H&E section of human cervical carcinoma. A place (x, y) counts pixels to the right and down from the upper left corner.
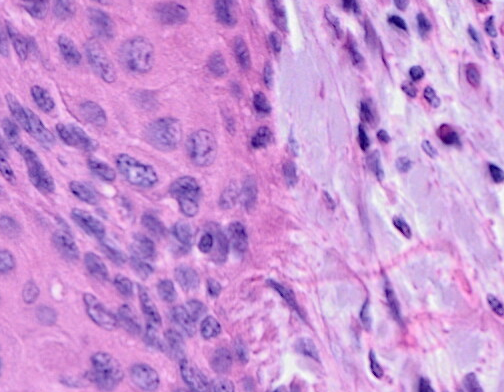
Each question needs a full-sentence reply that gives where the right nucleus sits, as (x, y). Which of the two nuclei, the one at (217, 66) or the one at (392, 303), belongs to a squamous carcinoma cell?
So, of the two, the nucleus at (217, 66) is the one belonging to a squamous carcinoma cell.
